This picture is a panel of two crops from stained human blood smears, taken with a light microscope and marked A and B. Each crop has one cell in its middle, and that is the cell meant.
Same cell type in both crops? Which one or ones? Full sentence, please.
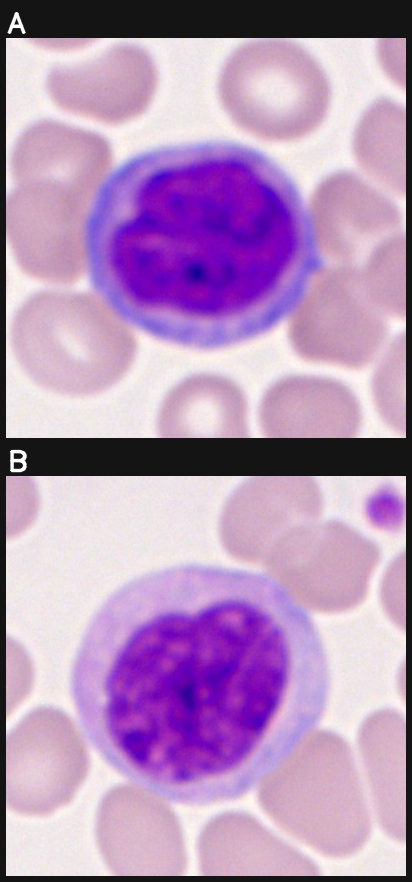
Yes, monocytes are what the two crops show.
